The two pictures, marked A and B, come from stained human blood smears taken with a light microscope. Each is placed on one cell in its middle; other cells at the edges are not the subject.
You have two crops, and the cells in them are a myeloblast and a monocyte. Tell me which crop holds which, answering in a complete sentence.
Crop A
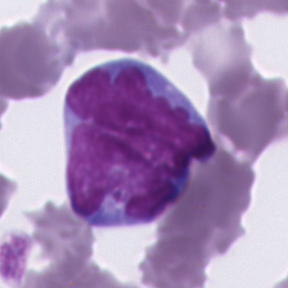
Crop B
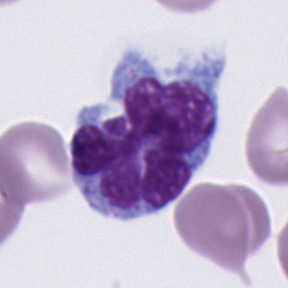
In crop A the cell is a myeloblast, while in crop B it is a monocyte.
